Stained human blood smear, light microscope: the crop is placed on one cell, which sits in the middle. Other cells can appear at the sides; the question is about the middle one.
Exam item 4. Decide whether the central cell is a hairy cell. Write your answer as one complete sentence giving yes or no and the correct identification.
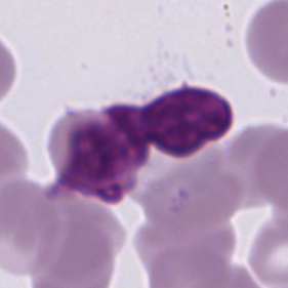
No, the one in the center is not a hairy cell; it is a smudge cell.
